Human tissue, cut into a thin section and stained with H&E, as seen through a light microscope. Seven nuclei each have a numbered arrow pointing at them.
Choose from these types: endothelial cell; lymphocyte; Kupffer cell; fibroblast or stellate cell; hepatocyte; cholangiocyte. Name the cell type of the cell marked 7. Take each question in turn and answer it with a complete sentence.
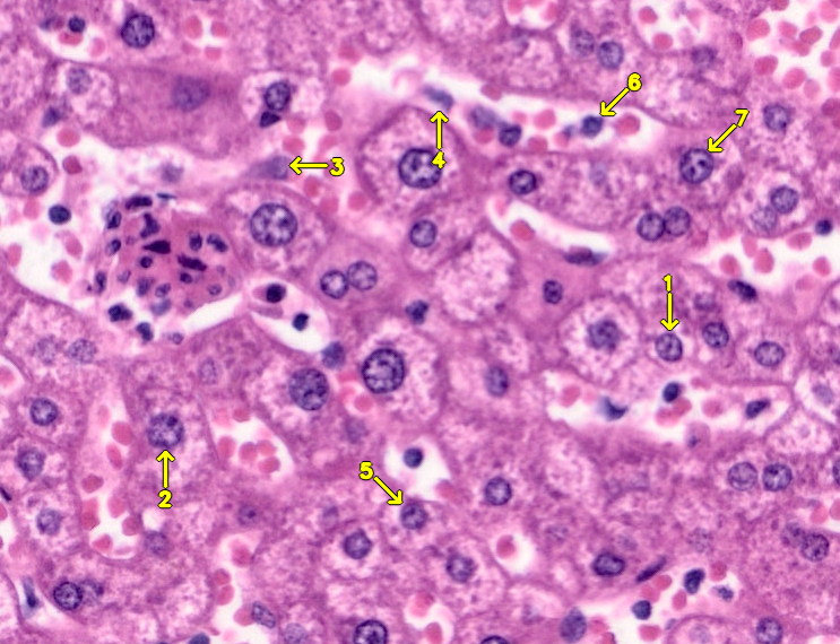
The cell carrying label 7 is identified as a hepatocyte.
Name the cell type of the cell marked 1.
The marked cell bearing number 1 is a hepatocyte.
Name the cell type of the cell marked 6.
Heads up, the cell numbered 6 is a lymphocyte.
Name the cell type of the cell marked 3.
Heads up, the cell numbered 3 is a Kupffer cell.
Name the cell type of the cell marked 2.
The cell with the number 2 is a hepatocyte.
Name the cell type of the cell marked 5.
Cell number 5 in this section is a hepatocyte.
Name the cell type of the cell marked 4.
Corresponding to a Kupffer cell is the cell labelled 4.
